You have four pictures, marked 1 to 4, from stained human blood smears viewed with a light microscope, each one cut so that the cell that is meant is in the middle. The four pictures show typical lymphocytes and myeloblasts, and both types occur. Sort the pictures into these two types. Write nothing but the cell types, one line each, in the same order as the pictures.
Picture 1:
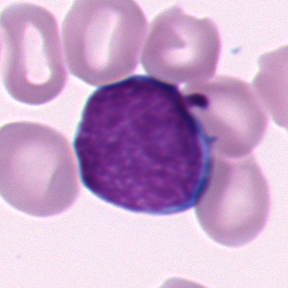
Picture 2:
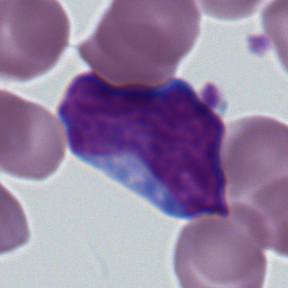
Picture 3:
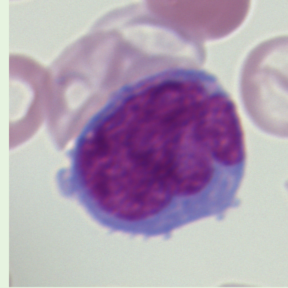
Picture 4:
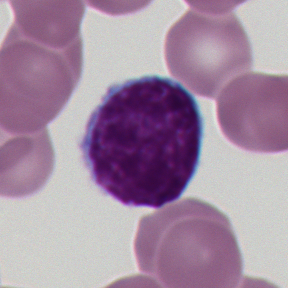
myeloblast
myeloblast
myeloblast
typical lymphocyte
